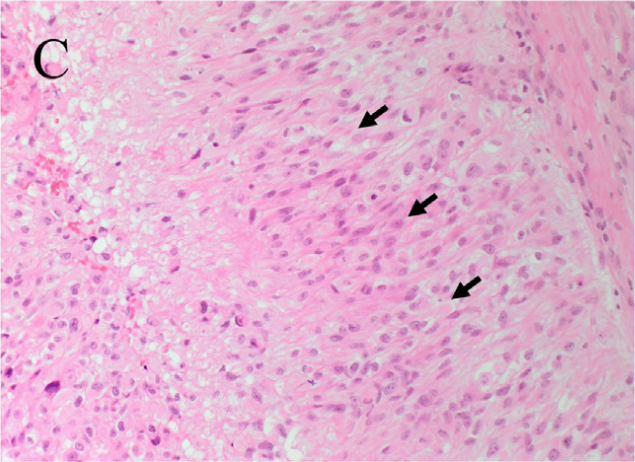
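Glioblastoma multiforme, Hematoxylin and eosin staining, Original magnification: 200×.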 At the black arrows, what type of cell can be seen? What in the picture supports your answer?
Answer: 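The arrows mark elongated tumor cells lined up roughly parallel in a band. A pale, loosely cellular area lies to the left of the band. So: Palisading cells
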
